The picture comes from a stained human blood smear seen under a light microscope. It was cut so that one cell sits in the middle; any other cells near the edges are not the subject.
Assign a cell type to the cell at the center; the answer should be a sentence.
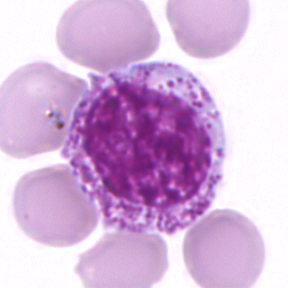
In the crop, the cell of interest at the centre is a myelocyte.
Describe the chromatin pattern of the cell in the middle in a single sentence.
If you check the nucleus, you will find the chromatin coarsely clumped.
